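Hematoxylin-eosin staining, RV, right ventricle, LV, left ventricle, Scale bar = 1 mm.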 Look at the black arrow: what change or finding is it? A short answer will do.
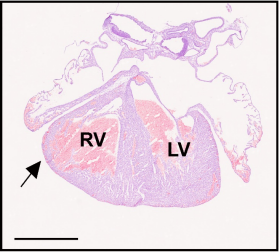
Ventricular hypoplasia.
